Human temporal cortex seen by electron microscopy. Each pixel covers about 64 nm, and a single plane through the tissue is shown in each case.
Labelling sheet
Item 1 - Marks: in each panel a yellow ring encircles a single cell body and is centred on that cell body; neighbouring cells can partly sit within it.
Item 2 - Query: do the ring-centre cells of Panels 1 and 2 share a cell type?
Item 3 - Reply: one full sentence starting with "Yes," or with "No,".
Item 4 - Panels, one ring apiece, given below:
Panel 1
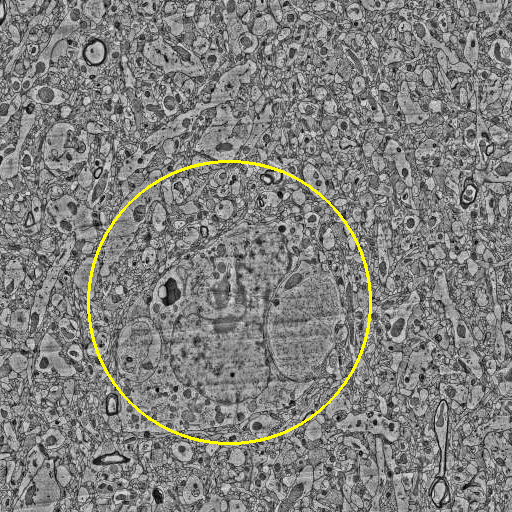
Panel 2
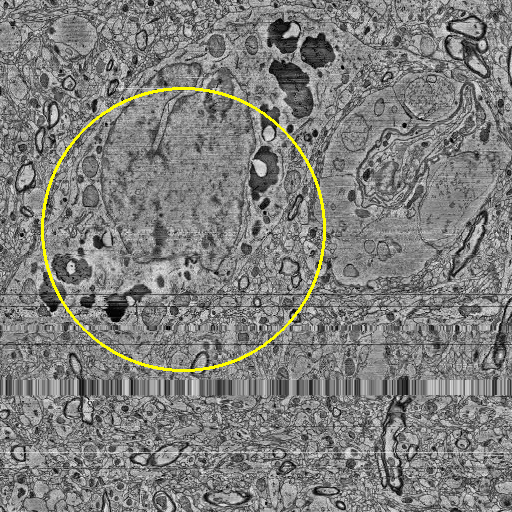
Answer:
Yes, Panel 1 and Panel 2 show one cell type at the centres of their rings.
